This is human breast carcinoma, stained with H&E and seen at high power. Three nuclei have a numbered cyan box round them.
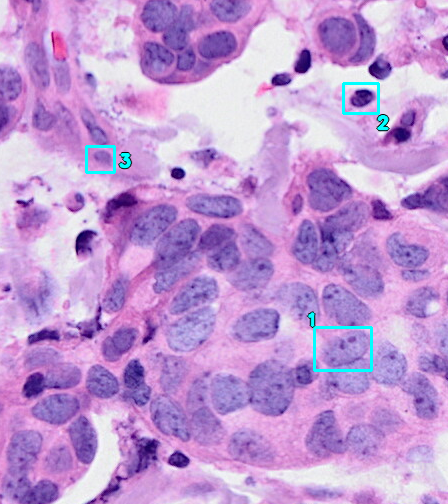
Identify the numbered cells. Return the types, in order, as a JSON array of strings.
["carcinoma cell", "lymphocyte", "endothelial cell"]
